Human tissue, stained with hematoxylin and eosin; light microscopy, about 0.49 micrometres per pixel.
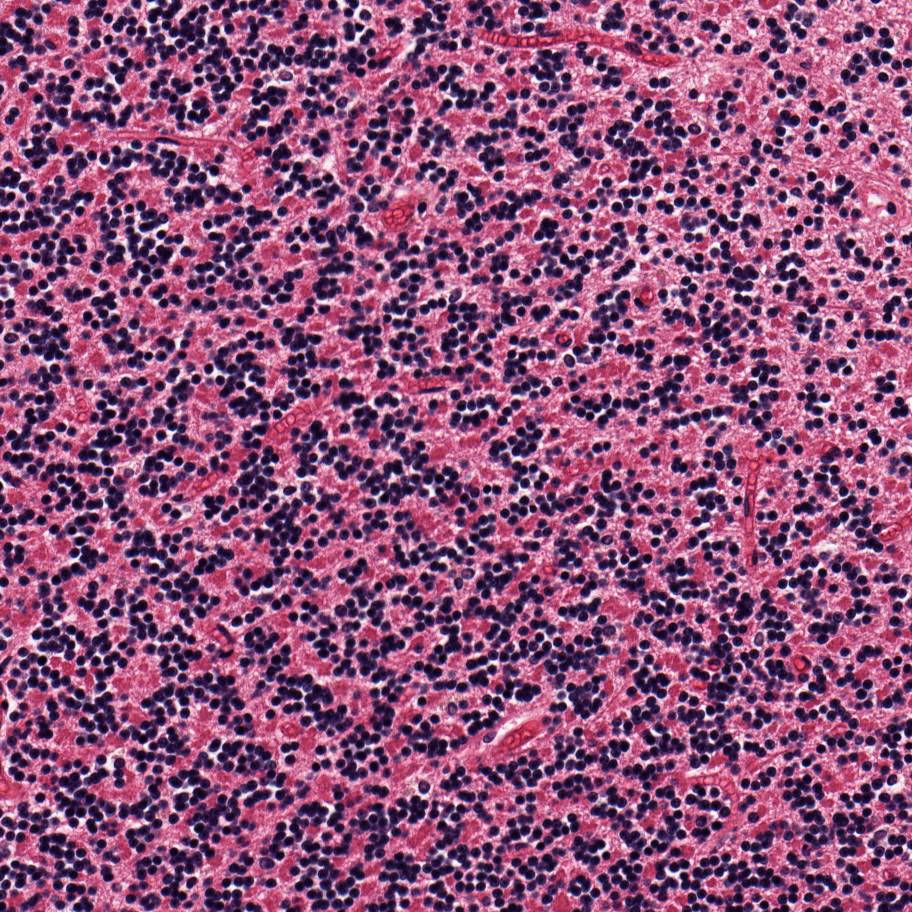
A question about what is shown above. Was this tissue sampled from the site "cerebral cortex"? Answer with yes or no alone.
no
